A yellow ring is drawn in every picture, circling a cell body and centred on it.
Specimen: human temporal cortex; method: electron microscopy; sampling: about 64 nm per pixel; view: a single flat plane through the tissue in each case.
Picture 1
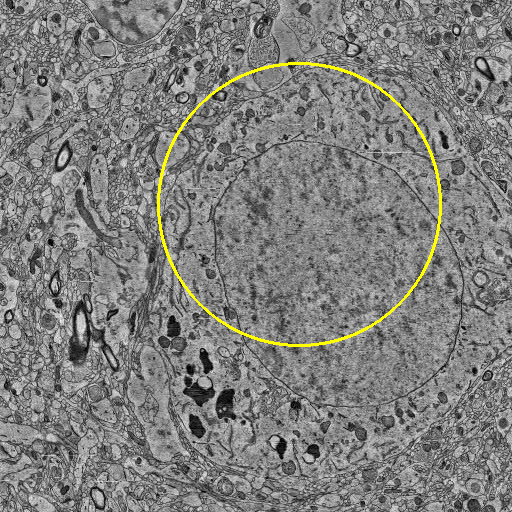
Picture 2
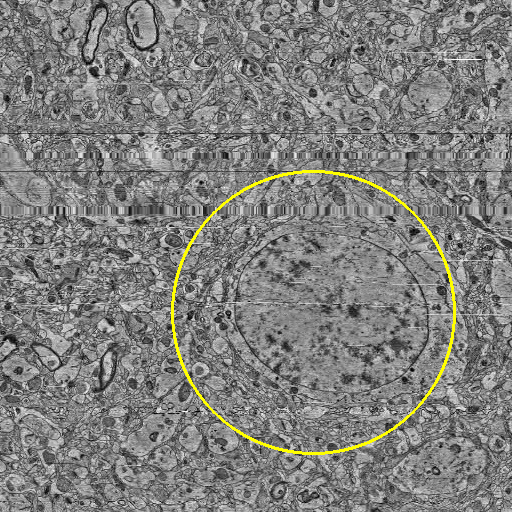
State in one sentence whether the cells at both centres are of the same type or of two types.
The cells at the two ring centres, one per picture, are of the same type.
